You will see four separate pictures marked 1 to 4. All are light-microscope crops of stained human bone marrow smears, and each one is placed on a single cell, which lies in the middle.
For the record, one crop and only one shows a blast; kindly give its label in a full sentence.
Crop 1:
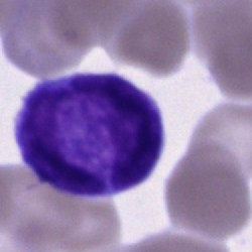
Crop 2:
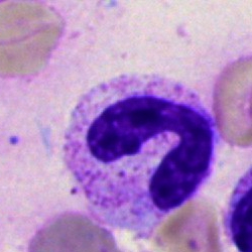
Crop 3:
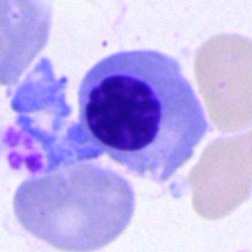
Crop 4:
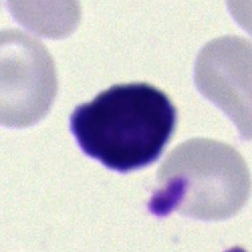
The crop bearing a blast is crop 1.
